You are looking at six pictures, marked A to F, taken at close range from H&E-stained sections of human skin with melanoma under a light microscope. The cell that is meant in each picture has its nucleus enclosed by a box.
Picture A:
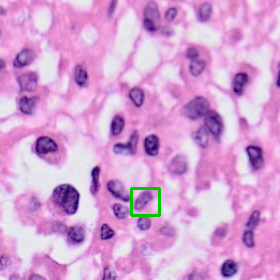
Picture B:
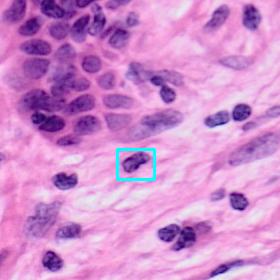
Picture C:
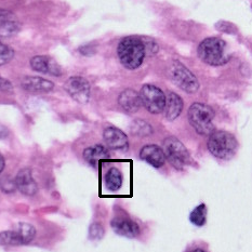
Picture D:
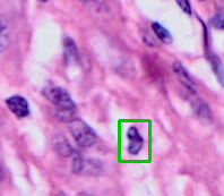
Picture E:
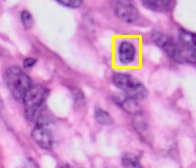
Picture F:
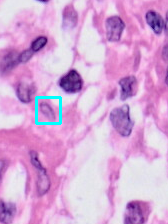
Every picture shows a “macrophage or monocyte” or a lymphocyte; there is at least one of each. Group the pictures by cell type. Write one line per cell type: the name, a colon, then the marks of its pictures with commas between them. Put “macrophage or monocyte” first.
macrophage or monocyte: A, F
lymphocyte: B, C, D, E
